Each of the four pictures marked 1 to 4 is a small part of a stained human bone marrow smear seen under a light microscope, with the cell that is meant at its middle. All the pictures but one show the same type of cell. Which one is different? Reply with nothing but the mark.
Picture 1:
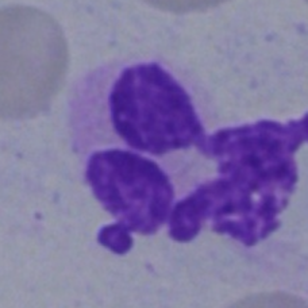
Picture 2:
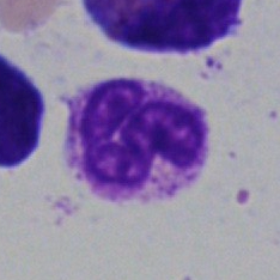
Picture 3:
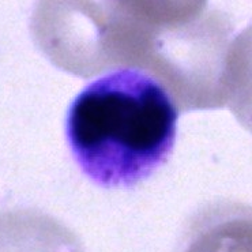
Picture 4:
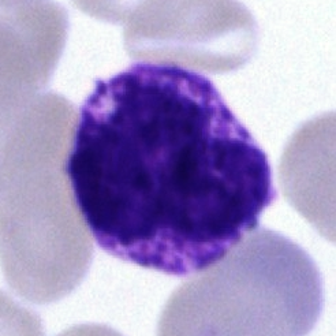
4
